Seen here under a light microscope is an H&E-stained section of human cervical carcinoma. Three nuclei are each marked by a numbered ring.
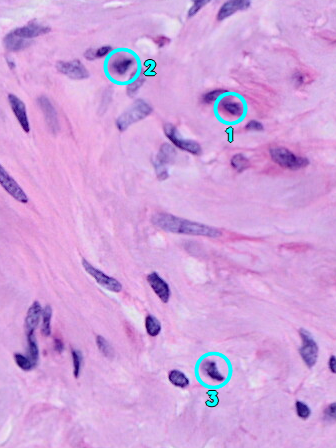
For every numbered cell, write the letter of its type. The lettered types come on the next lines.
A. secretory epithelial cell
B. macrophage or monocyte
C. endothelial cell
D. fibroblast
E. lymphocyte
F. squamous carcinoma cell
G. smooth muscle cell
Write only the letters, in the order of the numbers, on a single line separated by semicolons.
G; D; D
